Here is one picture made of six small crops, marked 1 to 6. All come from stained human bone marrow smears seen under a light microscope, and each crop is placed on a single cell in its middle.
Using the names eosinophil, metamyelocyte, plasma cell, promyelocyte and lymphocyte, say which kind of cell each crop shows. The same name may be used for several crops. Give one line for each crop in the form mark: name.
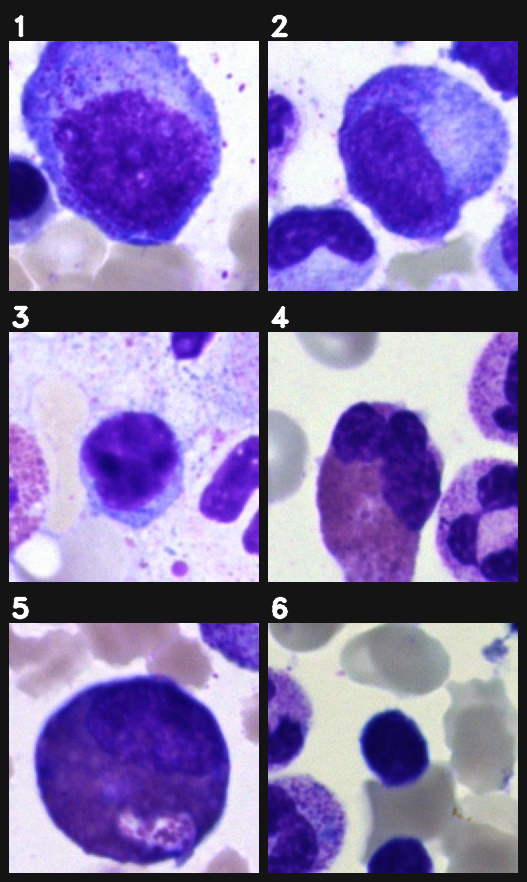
1: promyelocyte
2: promyelocyte
3: lymphocyte
4: eosinophil
5: eosinophil
6: lymphocyte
